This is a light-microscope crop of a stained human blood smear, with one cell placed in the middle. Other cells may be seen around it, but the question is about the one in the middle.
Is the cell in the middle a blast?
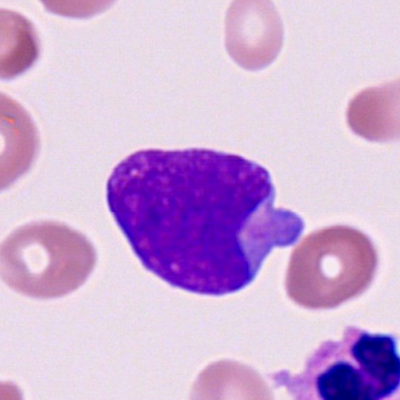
yes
